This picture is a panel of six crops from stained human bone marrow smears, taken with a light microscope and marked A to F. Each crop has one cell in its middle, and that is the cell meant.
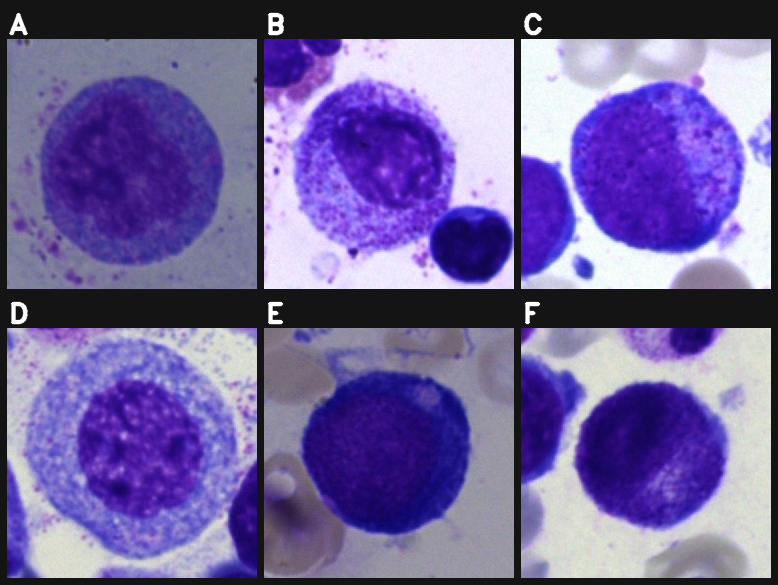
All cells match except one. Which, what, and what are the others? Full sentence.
The single exception among the crops is crop E, which is a proerythroblast; the rest show promyelocytes.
